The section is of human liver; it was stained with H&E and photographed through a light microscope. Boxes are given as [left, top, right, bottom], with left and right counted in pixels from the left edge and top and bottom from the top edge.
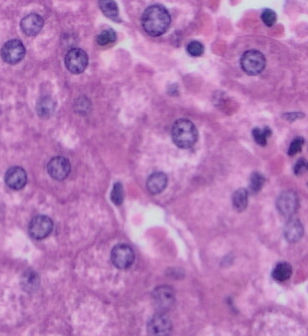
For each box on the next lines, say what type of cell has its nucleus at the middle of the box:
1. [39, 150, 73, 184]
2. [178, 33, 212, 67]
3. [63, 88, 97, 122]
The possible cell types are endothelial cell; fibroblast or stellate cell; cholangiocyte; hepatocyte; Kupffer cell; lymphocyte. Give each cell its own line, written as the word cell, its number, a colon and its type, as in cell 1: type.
cell 1: hepatocyte
cell 2: lymphocyte
cell 3: hepatocyte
